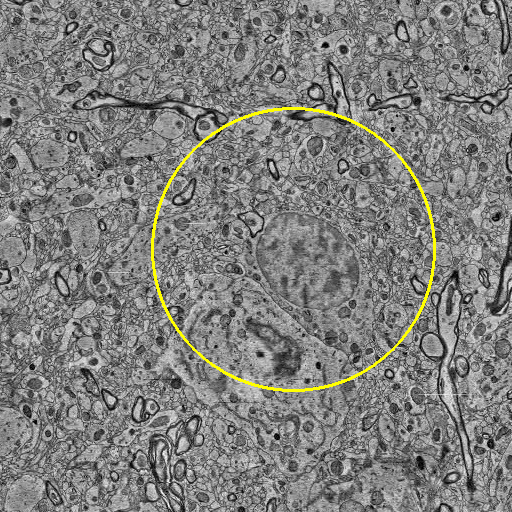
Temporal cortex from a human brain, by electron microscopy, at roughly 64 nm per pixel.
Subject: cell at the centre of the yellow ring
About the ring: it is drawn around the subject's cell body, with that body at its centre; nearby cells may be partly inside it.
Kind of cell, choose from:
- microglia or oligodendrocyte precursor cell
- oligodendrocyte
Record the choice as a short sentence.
The subject cell is an oligodendrocyte.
